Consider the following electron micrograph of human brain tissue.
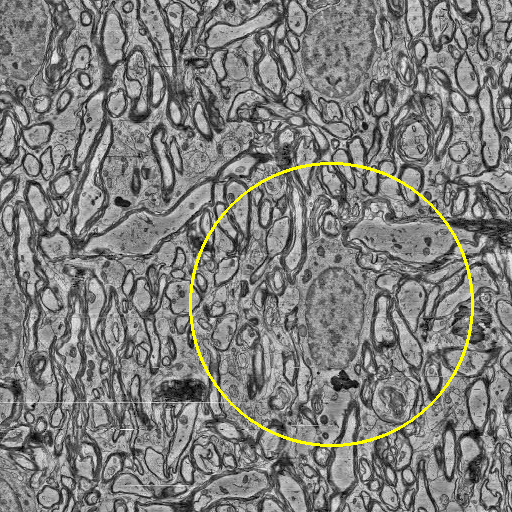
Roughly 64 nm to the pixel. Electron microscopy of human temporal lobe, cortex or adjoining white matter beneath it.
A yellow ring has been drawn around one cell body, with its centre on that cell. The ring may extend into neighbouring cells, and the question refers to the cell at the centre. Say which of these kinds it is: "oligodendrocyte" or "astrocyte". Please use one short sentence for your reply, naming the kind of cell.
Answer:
The centre of the ring falls on an oligodendrocyte.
